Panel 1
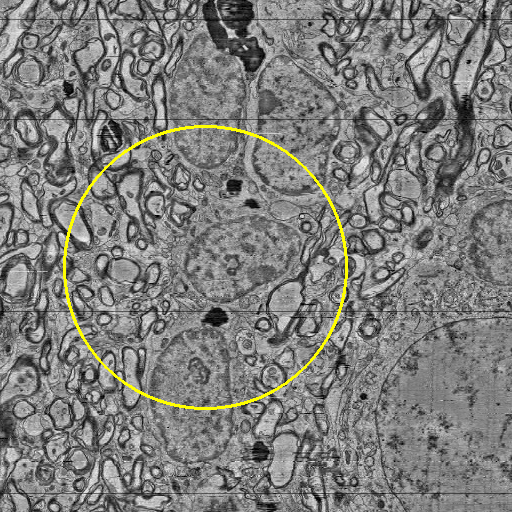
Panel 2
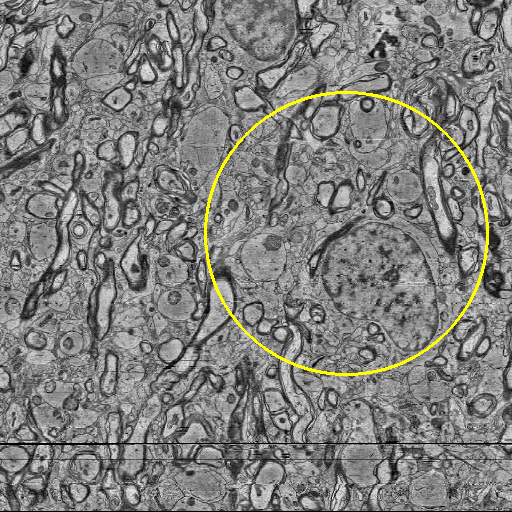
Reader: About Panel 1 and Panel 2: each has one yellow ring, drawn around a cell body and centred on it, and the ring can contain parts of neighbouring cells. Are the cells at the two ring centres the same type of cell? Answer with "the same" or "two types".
two types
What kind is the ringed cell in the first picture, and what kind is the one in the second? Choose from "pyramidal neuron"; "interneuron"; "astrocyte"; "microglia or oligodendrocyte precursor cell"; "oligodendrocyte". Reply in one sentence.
The first cell is an oligodendrocyte; the second is a microglial cell or oligodendrocyte precursor cell.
